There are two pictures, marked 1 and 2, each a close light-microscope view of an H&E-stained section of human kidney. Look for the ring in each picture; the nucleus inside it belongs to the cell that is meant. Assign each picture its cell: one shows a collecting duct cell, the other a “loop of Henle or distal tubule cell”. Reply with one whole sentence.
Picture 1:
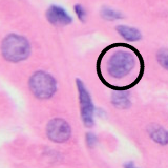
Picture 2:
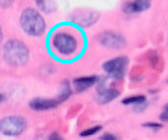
In picture 1 the cell is a collecting duct cell; in picture 2, a “loop of Henle or distal tubule cell”.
